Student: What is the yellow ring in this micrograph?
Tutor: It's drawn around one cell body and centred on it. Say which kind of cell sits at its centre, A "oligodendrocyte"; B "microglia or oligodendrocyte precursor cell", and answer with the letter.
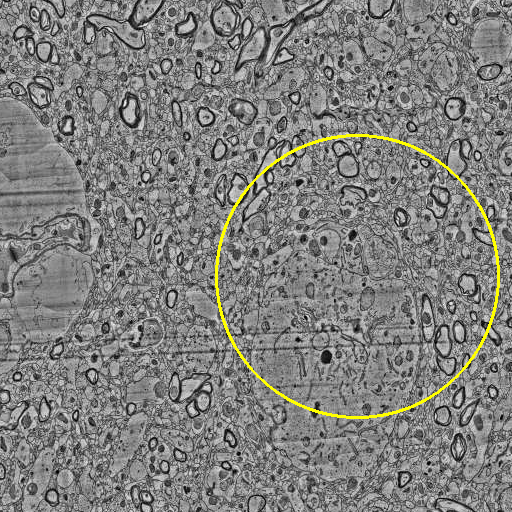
B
